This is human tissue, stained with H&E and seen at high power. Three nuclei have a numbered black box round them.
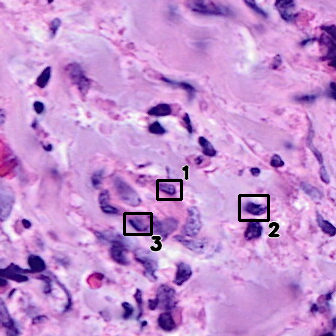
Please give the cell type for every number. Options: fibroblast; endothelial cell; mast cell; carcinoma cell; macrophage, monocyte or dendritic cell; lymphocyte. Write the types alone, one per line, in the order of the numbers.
endothelial cell
lymphocyte
endothelial cell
